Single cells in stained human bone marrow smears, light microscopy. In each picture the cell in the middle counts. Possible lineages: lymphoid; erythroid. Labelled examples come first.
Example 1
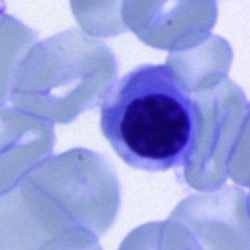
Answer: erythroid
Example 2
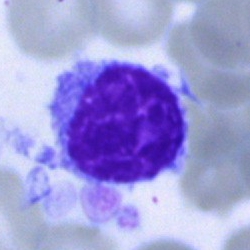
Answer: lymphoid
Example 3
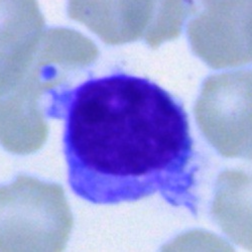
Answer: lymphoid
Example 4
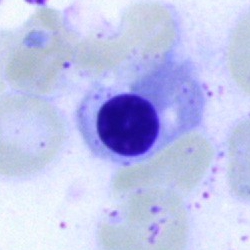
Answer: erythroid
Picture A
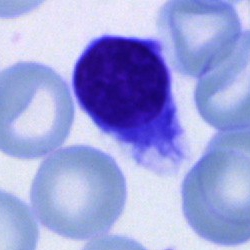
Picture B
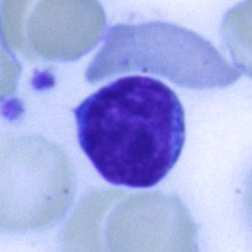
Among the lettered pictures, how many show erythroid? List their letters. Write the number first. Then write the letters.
0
